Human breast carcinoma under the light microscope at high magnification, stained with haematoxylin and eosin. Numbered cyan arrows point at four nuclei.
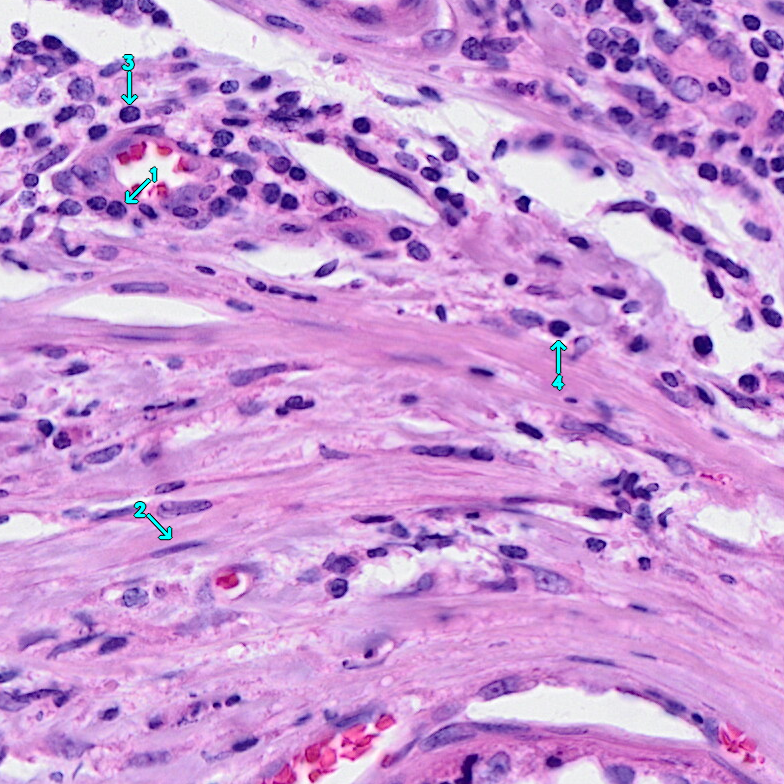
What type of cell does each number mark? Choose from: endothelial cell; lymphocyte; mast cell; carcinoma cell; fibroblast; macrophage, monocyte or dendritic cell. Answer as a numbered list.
1. lymphocyte
2. fibroblast
3. lymphocyte
4. lymphocyte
